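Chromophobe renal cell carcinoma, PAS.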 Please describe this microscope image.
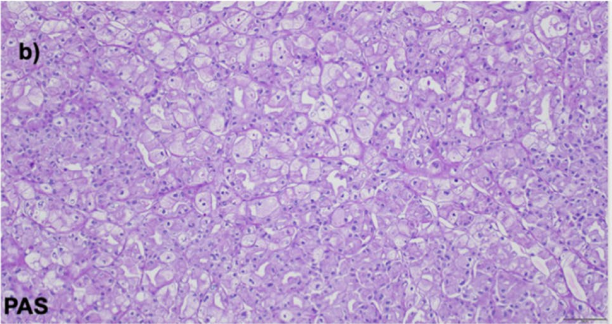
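The cytoplasm is pale lilac and finely reticular, without magenta granules or droplets. Nuclei are small, dark blue-purple and mostly central, some surrounded by a pale halo. Thin walled vessels run between groups of cells, and several cells are swollen with very pale cytoplasm.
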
